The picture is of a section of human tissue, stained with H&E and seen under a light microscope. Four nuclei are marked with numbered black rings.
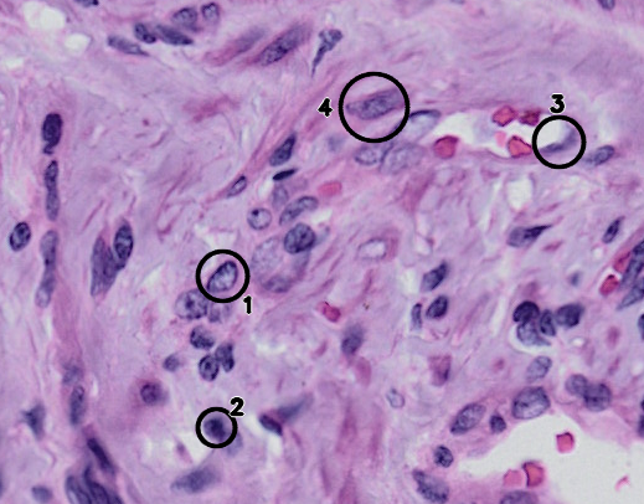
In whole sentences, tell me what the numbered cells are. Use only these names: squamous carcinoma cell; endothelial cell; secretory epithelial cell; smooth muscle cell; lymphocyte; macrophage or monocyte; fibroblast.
Cell 1 is an endothelial cell, cell 2 is a lymphocyte, cell 3 is an endothelial cell and cell 4 is a smooth muscle cell.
